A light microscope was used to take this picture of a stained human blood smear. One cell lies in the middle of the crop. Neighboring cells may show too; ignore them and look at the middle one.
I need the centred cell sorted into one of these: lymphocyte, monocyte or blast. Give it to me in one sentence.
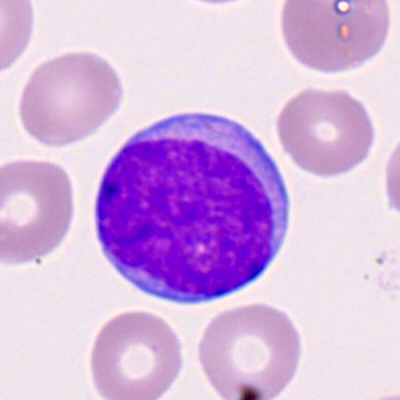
Standing at the centre of this crop is a blast.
